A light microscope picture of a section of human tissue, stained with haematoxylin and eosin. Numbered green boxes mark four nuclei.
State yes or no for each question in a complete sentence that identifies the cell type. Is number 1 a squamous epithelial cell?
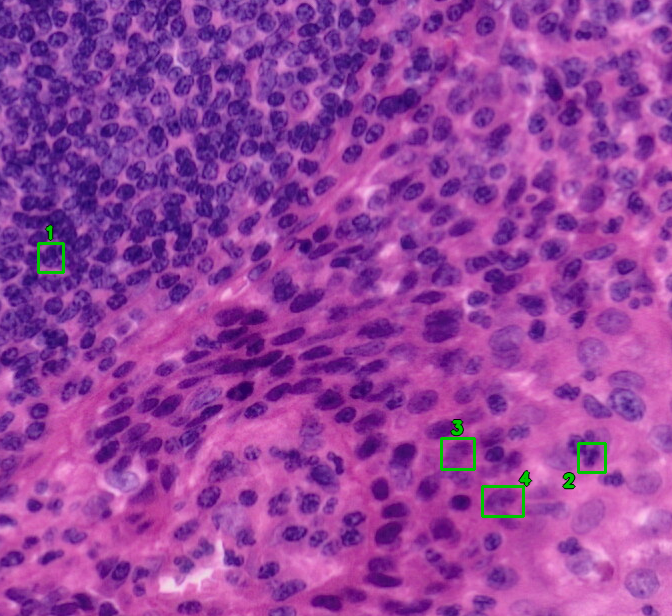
No, cell 1 is not a squamous epithelial cell; a small lymphocyte is the correct identification.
